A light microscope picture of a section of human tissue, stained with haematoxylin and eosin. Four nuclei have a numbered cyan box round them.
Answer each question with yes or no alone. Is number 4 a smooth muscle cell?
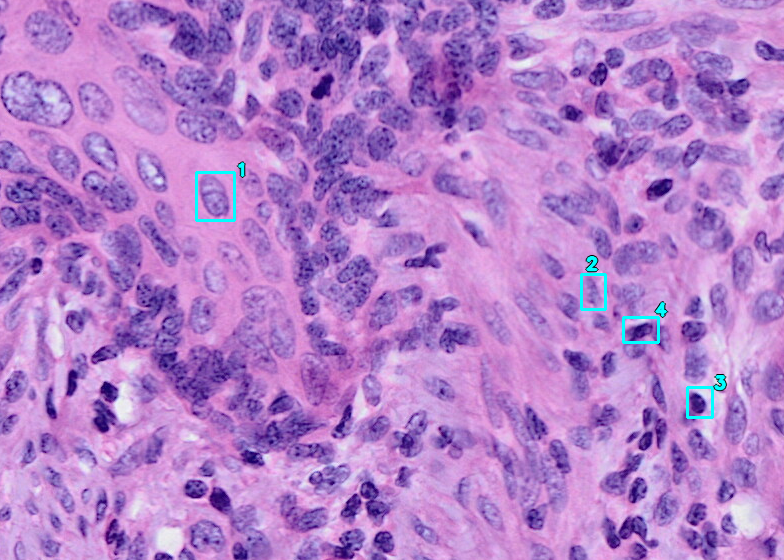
no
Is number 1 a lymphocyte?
no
